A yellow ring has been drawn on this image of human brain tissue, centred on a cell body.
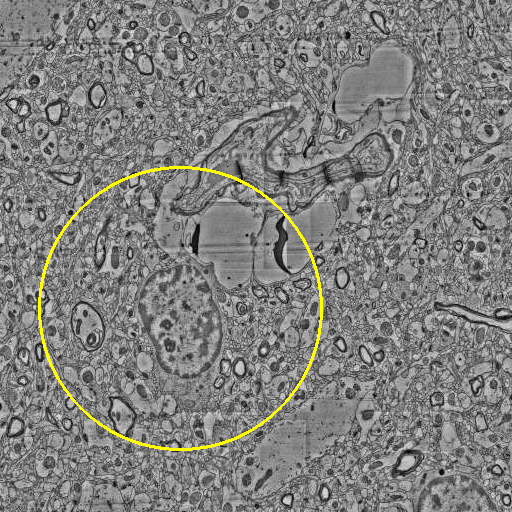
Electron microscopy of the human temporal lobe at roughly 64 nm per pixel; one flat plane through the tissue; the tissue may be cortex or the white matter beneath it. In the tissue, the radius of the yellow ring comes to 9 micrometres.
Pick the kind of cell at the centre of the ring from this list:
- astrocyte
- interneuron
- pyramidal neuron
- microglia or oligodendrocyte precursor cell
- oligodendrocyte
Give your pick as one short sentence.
The centre of the ring holds an oligodendrocyte.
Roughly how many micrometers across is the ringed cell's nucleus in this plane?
In this plane, the nucleus is roughly 7 by 5 micrometres.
